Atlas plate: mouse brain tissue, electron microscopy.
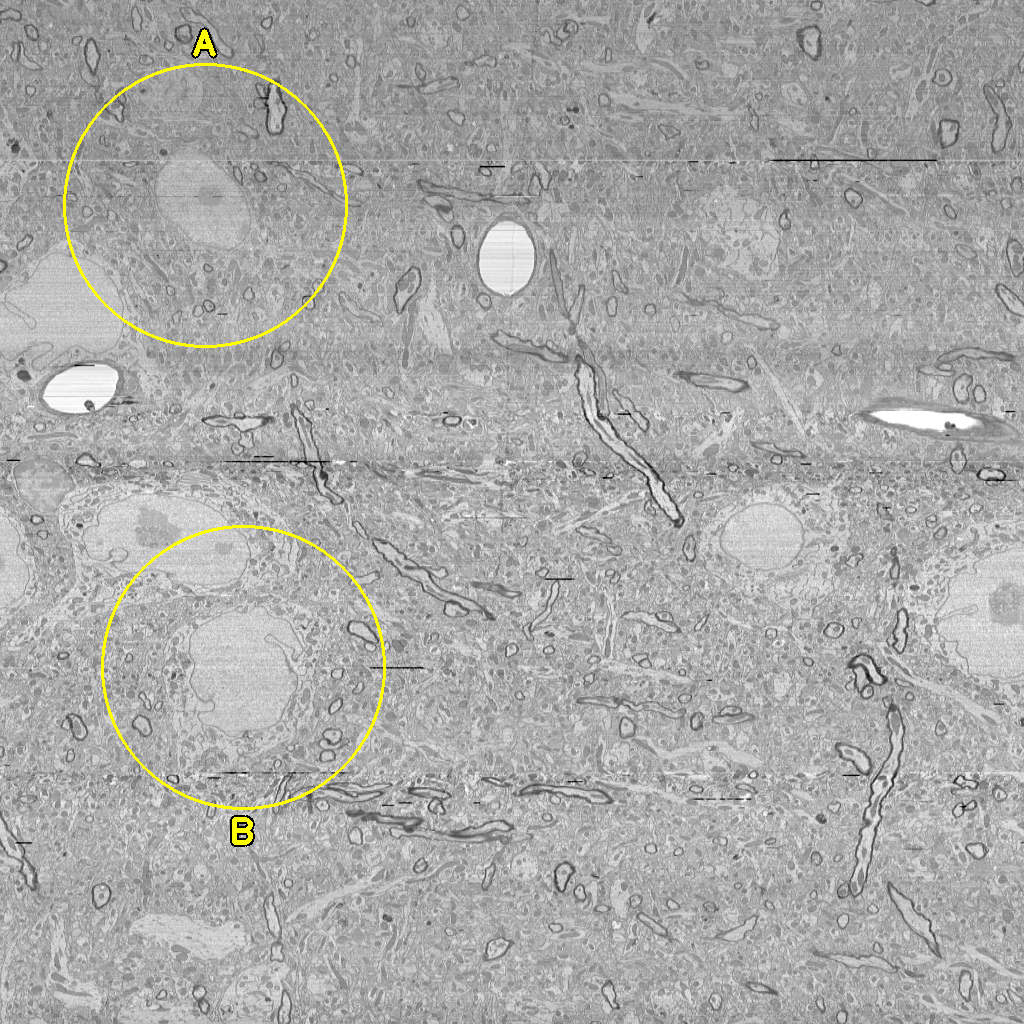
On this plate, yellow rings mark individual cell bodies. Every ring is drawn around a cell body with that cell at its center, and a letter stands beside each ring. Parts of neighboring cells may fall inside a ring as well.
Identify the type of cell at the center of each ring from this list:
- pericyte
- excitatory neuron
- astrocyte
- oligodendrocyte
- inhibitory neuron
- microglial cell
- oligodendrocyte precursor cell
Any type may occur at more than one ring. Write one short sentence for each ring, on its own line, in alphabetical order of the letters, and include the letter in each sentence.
At the center of ring A lies an astrocyte.
At the center of ring B lies an inhibitory neuron.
